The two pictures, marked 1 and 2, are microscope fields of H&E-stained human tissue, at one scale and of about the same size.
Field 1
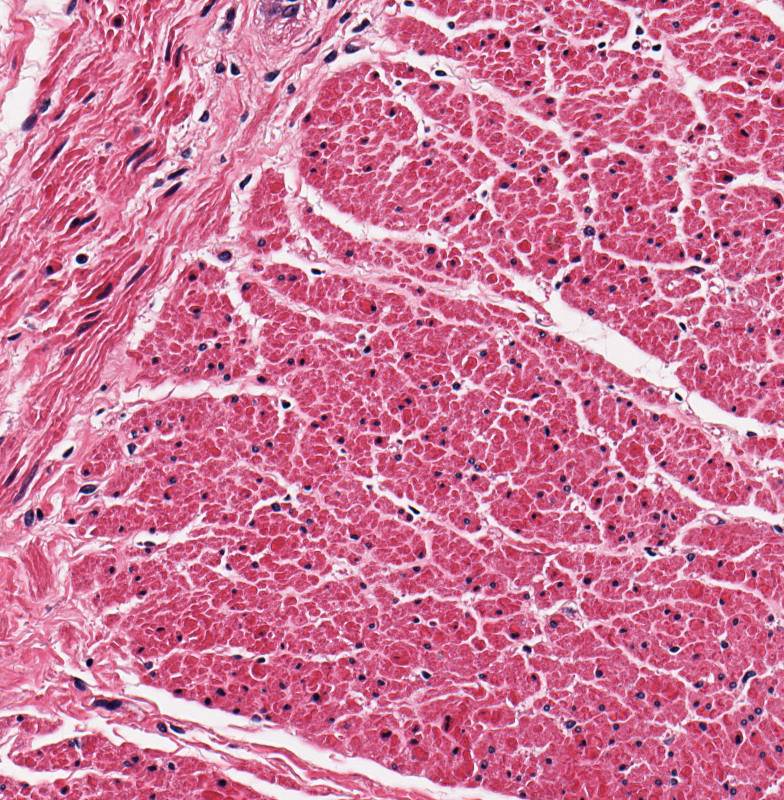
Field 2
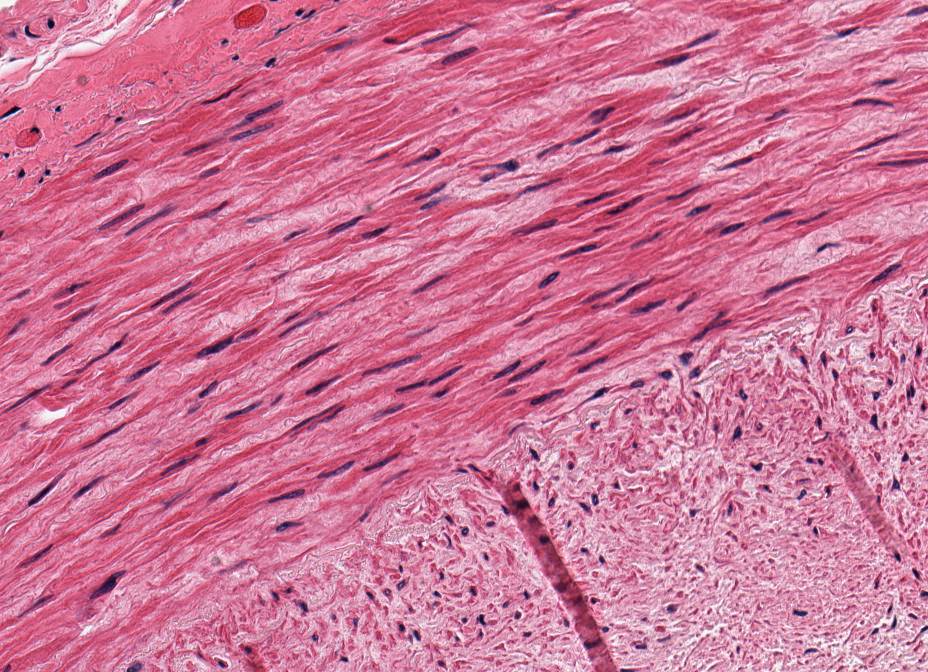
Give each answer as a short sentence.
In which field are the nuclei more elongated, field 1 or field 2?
On the whole the nuclei of field 2 are more drawn out than those of field 1.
